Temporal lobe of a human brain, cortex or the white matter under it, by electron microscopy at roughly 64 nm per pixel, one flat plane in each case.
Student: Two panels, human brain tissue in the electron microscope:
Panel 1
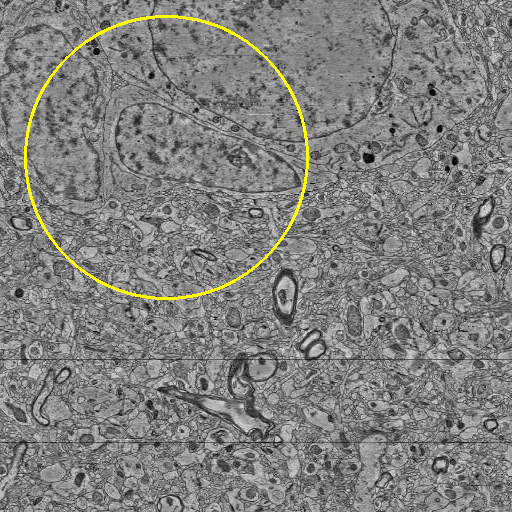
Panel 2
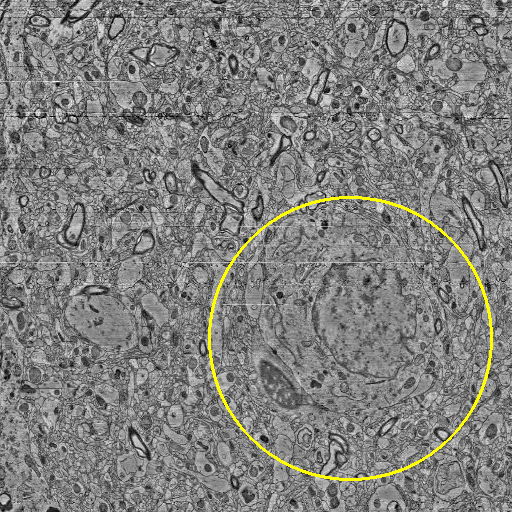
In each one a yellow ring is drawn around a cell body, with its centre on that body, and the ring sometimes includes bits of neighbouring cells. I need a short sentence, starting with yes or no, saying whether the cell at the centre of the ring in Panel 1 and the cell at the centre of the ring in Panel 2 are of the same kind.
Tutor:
No, they are two kinds of cell.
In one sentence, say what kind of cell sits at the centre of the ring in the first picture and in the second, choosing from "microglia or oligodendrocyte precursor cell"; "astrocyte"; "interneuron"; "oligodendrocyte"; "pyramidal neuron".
The first picture's ringed cell is a microglial cell or oligodendrocyte precursor cell, while the second picture's is an interneuron.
